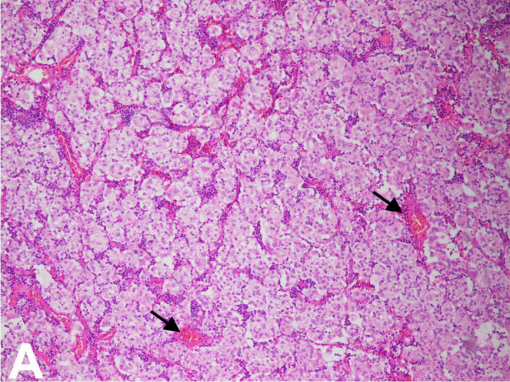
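At low power this tumor is built of nests of epithelioid cells with clear to pink granular cytoplasm. The nests are rounded and of fairly even size, separated by thin delicate septa. Small red-filled vascular spaces and scattered clusters of small dark nuclei lie within the septa between nests. The overall pattern is a uniform nested arrangement across the whole field.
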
